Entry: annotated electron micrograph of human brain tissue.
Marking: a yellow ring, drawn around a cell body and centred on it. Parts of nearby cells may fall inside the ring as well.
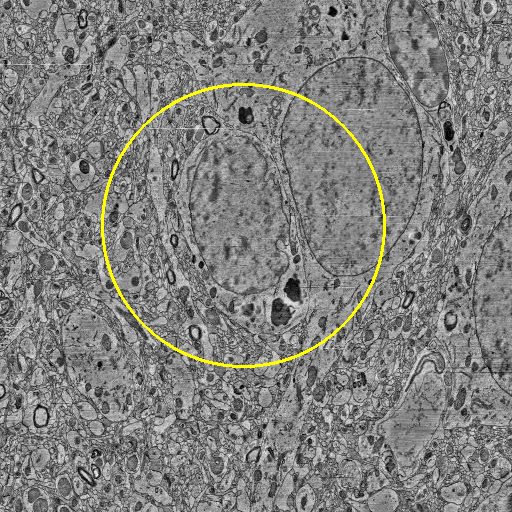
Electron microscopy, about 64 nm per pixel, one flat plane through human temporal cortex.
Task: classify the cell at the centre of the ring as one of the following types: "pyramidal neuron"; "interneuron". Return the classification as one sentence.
The marked cell is classified as an interneuron.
